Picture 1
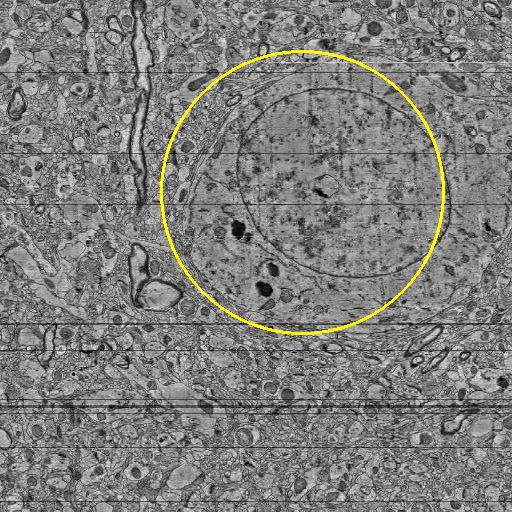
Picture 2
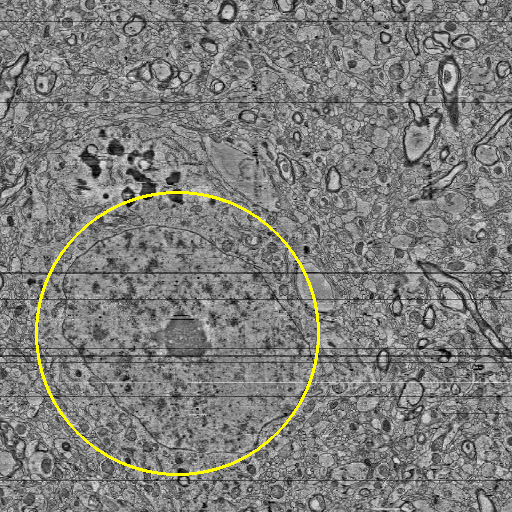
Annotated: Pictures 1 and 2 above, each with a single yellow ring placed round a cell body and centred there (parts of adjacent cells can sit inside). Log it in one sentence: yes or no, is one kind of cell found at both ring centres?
Yes, the ring centres of the two pictures hold cells of one kind.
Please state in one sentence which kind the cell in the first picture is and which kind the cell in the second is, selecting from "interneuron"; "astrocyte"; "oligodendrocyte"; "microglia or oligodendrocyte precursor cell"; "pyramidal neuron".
Each of the two rings surrounds a pyramidal neuron.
